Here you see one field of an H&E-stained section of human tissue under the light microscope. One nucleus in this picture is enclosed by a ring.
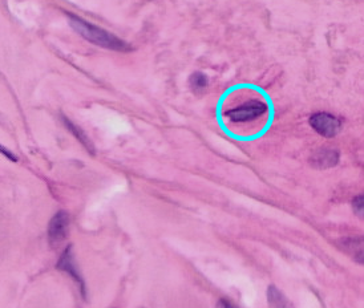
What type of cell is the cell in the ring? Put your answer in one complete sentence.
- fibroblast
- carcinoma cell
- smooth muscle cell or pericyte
This is a smooth muscle cell or pericyte.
